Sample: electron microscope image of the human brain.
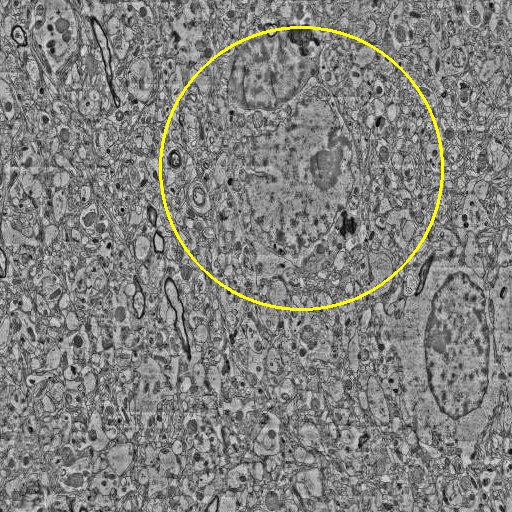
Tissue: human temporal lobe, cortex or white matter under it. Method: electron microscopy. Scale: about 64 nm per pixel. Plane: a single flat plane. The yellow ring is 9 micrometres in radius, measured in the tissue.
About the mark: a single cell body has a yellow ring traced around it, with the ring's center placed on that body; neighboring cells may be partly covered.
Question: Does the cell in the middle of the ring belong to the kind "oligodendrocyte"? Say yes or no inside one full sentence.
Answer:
No, the cell at the ring's center in this image belongs to a different kind.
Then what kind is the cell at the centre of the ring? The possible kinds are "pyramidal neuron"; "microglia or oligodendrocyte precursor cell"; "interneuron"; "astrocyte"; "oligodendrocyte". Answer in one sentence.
The cell marked by the ring is an interneuron.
